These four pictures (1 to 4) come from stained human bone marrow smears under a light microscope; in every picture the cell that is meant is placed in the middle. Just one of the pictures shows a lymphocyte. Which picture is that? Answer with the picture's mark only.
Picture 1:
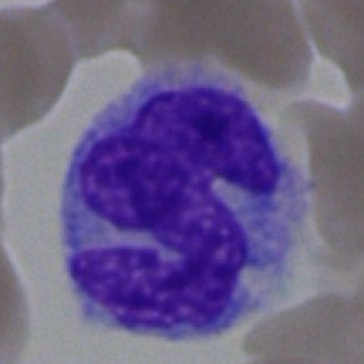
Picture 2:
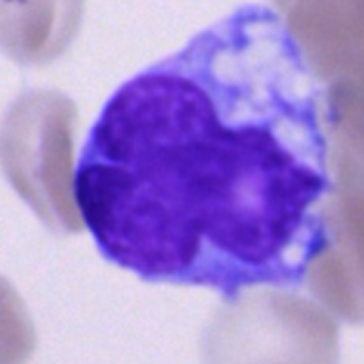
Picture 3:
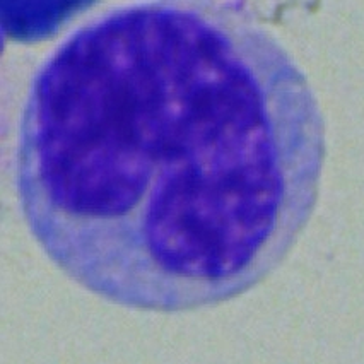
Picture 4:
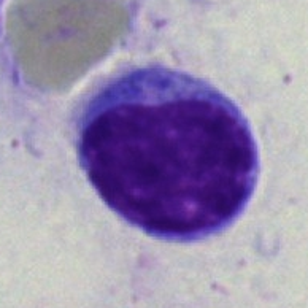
4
